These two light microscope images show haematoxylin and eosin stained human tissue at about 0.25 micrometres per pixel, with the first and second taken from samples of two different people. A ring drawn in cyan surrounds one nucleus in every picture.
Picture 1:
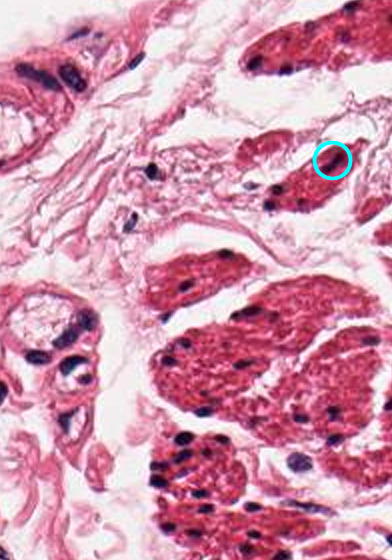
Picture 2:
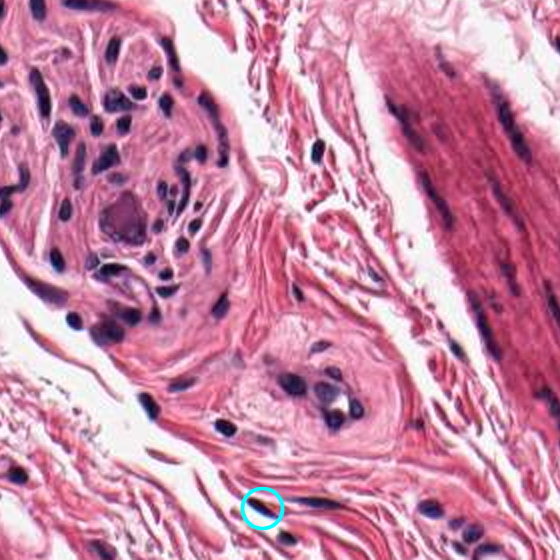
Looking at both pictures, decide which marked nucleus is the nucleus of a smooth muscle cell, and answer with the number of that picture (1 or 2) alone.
1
